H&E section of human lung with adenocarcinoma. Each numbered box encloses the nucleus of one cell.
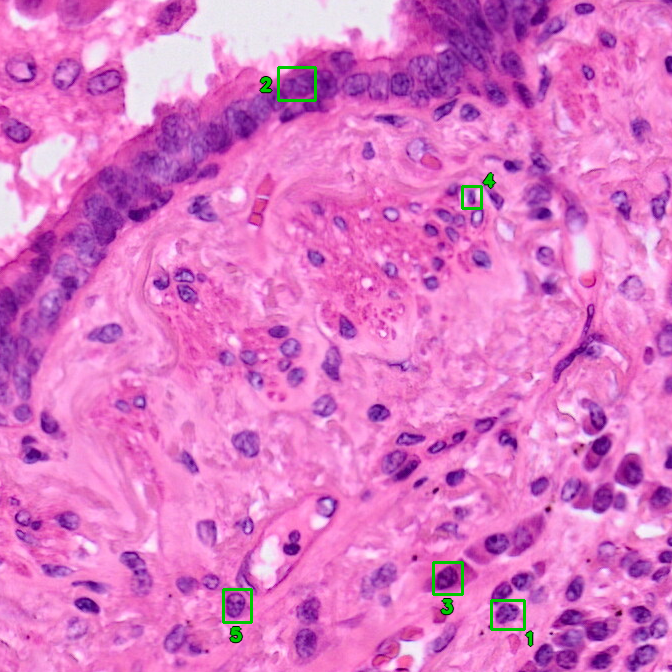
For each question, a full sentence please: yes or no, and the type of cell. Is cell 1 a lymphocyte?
Yes, the cell tagged with number 1 is a lymphocyte.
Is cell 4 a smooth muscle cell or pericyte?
Yes, the numbered nucleus 4 is that of a smooth muscle cell or pericyte.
